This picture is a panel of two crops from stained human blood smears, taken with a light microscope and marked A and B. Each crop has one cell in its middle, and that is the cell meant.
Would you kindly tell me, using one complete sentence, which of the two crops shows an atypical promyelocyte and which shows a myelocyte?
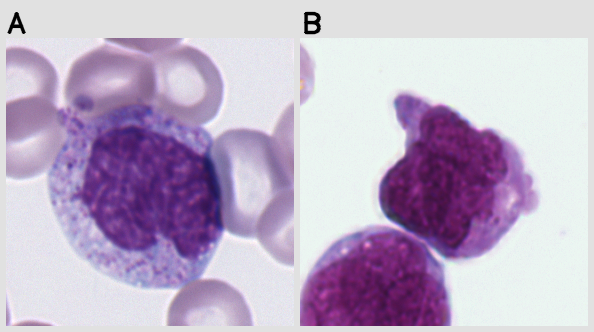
The designated cell in crop A is a myelocyte, and the designated cell in crop B is an atypical promyelocyte.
